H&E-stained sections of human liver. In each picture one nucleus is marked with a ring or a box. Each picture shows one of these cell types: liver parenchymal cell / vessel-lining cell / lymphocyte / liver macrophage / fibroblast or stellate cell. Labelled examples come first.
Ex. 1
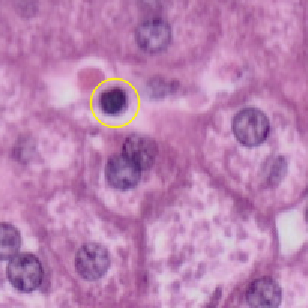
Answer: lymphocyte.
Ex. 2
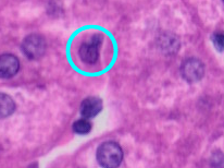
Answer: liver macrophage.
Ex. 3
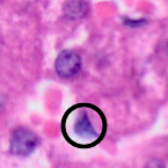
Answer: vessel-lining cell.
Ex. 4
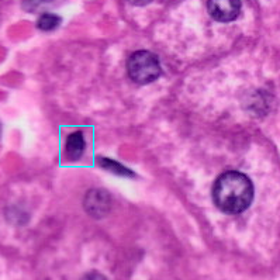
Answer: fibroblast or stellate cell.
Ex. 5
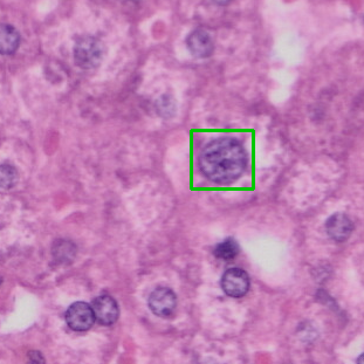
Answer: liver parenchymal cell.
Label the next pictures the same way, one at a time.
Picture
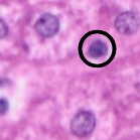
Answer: lymphocyte.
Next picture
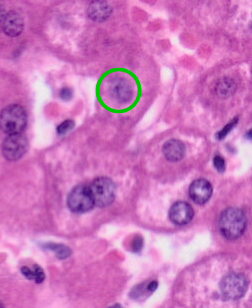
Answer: liver parenchymal cell.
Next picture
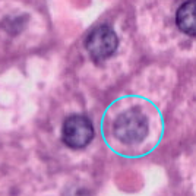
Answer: liver parenchymal cell.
